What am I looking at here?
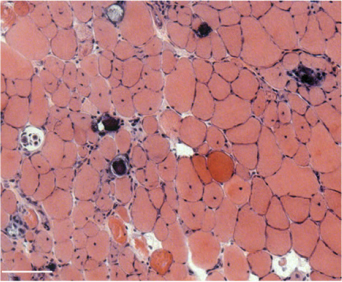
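This cross-section of skeletal muscle shows polygonal pink fibers of varying size, many with a dark nucleus placed in the centre of the fiber. Scattered fibers contain dense dark purple to black granular deposits. Small dark nuclei crowd the spaces between fibers at the left, and a few fibers stain deeper red than the rest. A small rounded empty-looking profile with a ring of material sits at left centre.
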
